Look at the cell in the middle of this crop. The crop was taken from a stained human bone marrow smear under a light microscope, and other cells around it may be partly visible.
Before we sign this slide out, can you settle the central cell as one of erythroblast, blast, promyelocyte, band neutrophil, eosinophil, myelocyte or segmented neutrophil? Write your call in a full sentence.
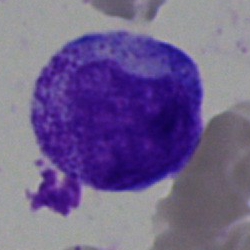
Where the crop is centred, there is a myelocyte.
